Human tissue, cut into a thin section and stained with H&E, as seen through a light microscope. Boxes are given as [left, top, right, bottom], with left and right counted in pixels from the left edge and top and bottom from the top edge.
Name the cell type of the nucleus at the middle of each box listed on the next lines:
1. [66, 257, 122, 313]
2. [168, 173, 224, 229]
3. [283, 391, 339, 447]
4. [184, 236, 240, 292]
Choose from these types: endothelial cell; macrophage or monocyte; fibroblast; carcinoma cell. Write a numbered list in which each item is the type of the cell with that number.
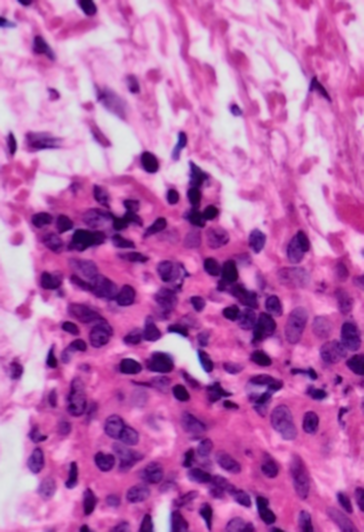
1. carcinoma cell
2. carcinoma cell
3. macrophage or monocyte
4. carcinoma cell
